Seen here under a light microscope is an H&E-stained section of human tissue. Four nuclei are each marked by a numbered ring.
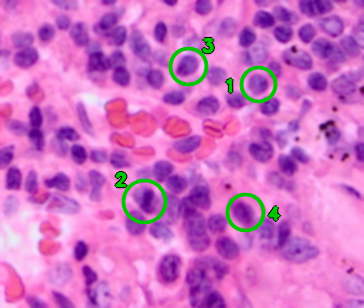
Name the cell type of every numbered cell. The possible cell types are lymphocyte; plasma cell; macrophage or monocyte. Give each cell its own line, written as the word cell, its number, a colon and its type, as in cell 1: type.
cell 1: lymphocyte
cell 2: lymphocyte
cell 3: lymphocyte
cell 4: plasma cell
